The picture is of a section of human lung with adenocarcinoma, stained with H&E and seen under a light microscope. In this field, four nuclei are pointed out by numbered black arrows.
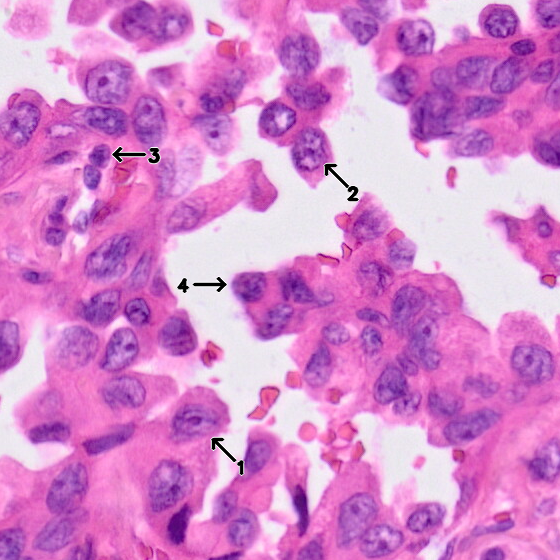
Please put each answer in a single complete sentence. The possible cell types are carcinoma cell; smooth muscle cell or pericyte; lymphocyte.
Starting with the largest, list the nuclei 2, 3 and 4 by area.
Largest first, the order by area is 2, 4, 3.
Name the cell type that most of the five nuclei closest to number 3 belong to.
Of the five nuclei nearest to number 3, most belong to carcinoma cells.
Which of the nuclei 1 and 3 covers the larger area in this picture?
Nucleus 1 is larger, with an area about 3 times that of nucleus 3.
